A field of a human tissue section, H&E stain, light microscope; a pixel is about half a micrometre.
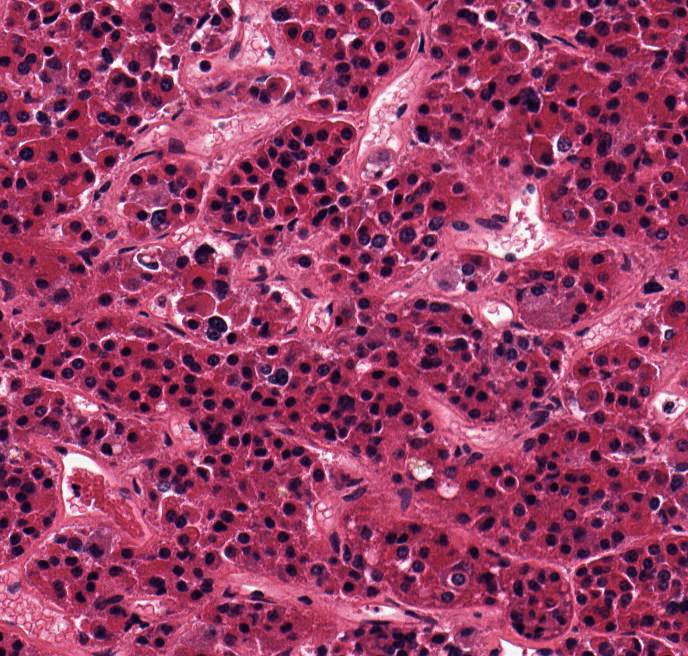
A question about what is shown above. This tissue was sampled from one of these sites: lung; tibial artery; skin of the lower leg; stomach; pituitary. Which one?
pituitary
